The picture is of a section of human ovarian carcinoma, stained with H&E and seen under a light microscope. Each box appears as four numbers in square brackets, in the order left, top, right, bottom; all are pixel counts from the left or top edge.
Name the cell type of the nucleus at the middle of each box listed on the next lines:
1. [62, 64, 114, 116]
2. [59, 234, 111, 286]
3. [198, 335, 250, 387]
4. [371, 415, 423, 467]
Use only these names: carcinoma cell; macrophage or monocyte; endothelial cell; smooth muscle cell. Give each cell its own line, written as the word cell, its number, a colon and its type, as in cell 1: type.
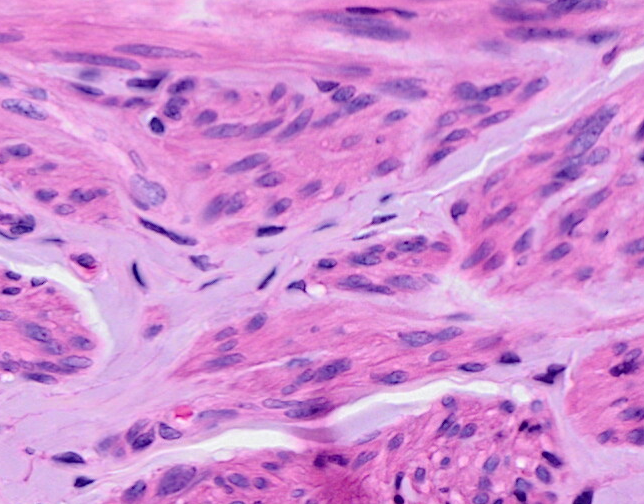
cell 1: smooth muscle cell
cell 2: endothelial cell
cell 3: smooth muscle cell
cell 4: smooth muscle cell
